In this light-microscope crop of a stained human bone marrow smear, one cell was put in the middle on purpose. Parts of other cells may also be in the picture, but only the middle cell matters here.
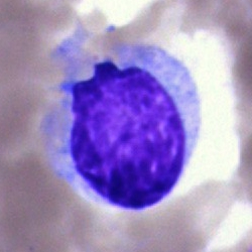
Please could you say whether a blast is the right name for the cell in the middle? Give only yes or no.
no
